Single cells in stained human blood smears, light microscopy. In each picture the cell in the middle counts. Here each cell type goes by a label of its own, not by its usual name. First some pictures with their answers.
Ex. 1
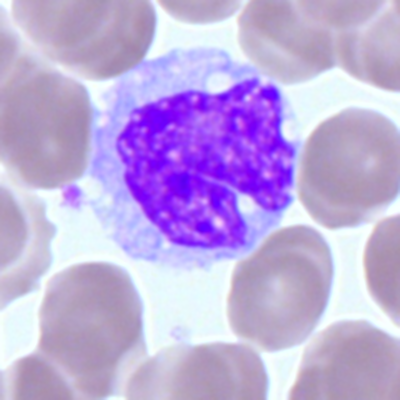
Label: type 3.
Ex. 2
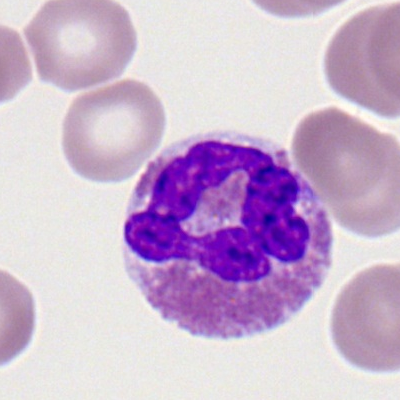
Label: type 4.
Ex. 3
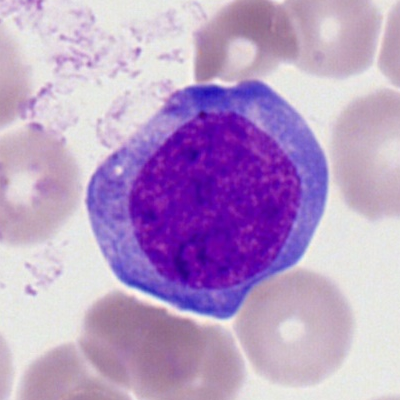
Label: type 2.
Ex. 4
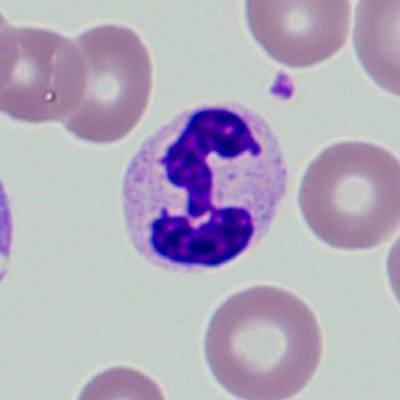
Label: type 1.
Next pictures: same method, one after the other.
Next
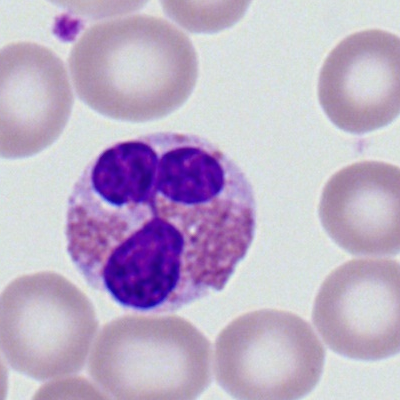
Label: type 4.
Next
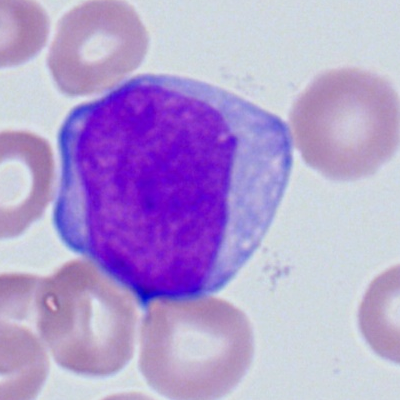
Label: type 2.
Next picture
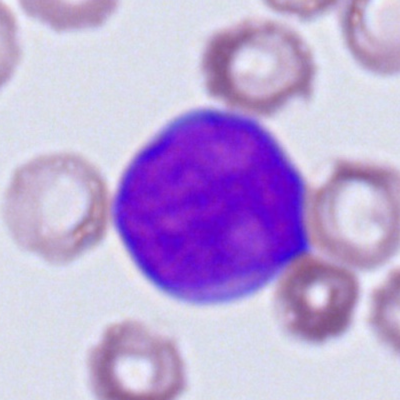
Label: type 2.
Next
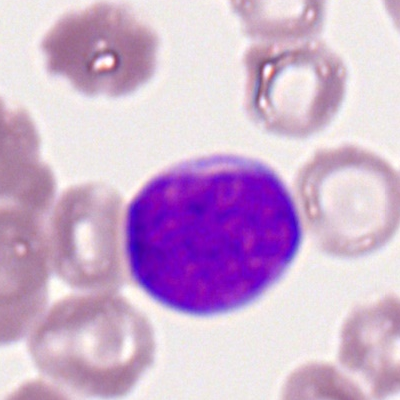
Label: type 2.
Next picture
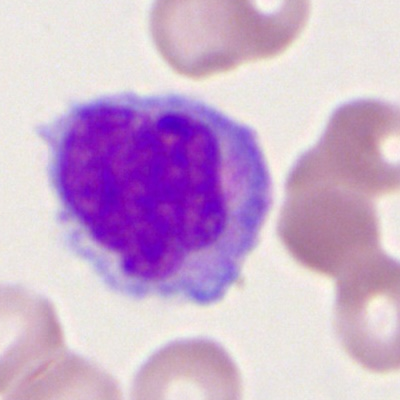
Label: type 3.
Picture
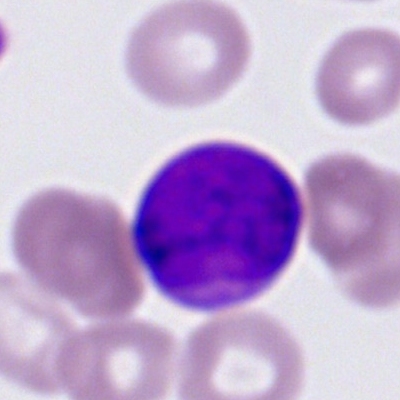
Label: type 2.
